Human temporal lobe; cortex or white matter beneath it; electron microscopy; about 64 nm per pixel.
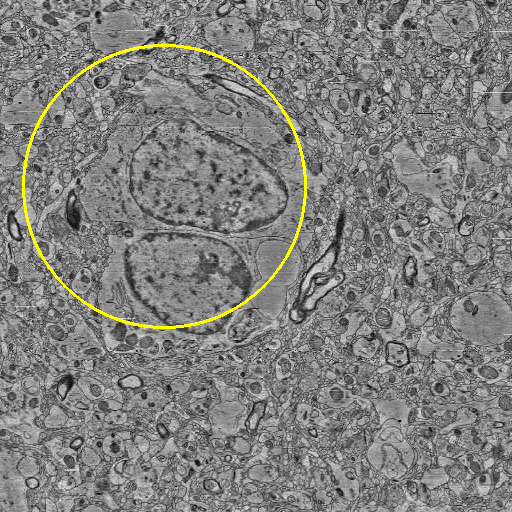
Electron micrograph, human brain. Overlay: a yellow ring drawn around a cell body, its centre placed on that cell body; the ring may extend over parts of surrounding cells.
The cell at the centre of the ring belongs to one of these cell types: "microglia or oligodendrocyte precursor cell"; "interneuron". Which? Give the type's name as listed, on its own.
microglia or oligodendrocyte precursor cell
